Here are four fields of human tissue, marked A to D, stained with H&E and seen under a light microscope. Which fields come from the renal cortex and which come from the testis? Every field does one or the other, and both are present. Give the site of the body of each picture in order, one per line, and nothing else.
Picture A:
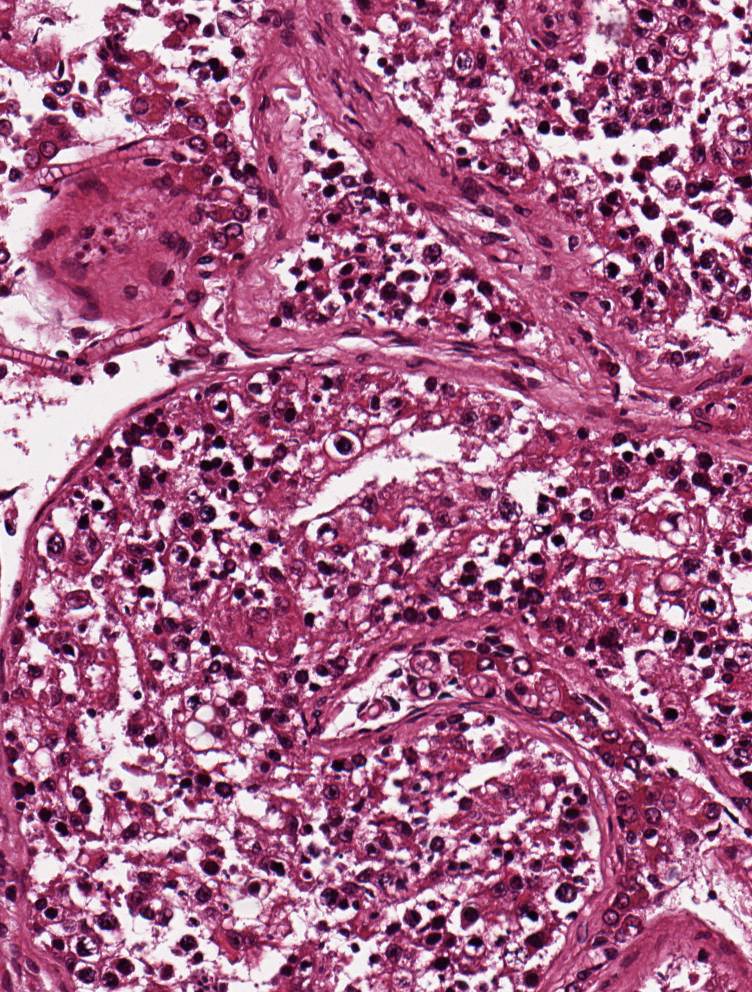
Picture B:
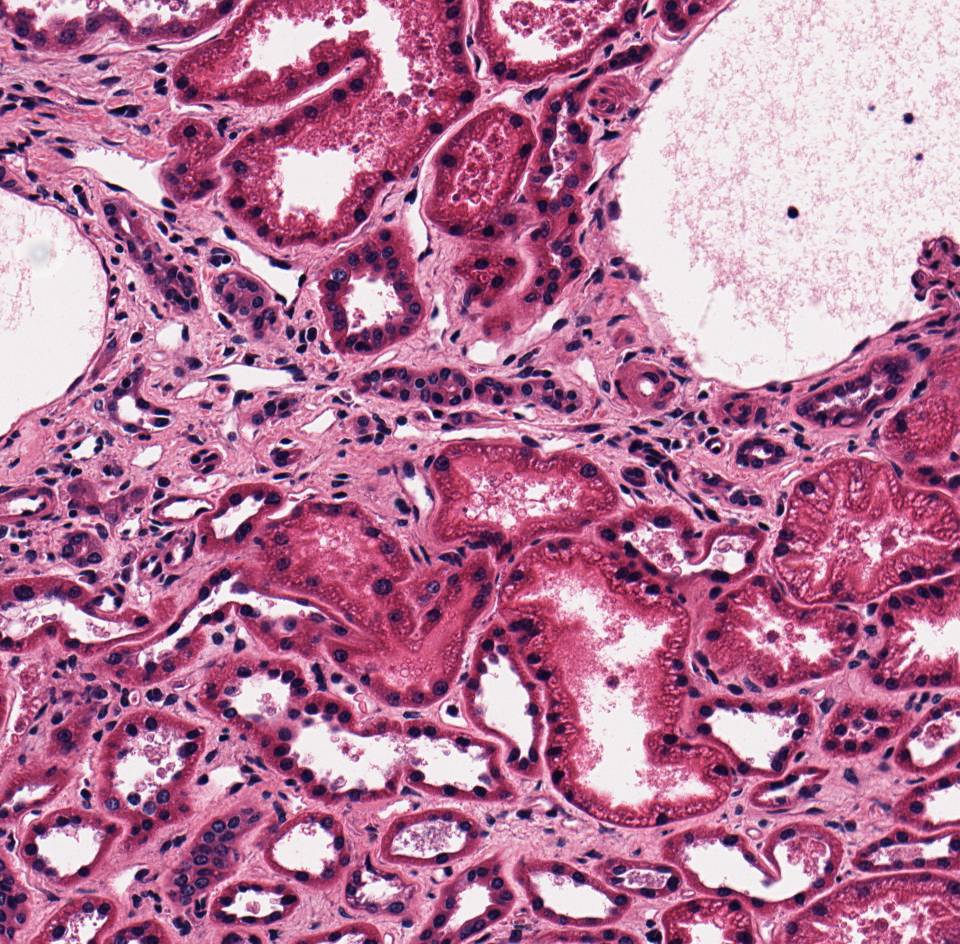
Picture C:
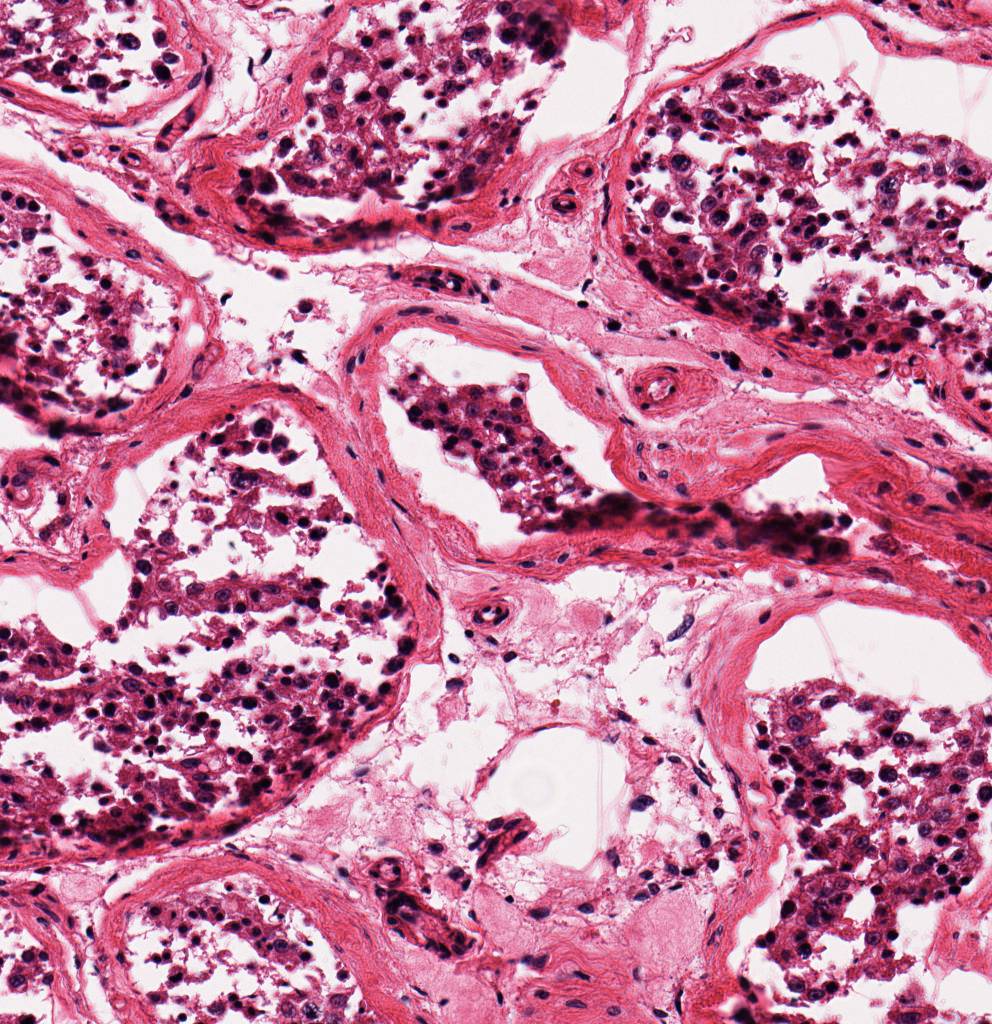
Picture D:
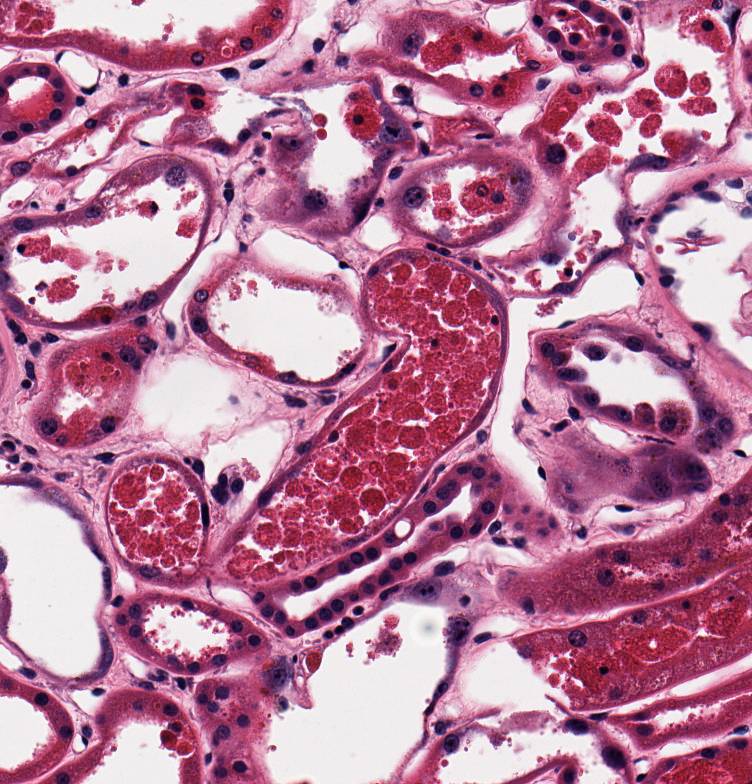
testis
renal cortex
testis
renal cortex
